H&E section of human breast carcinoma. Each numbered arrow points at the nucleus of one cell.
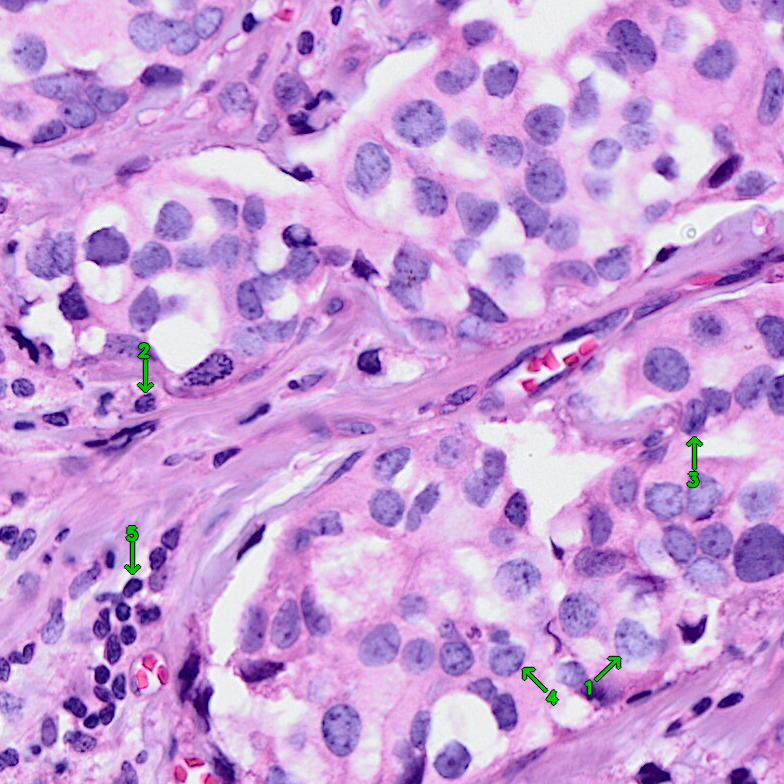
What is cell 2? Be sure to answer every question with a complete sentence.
At number 2, the marked cell is a lymphocyte.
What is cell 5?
Cell 5 should be recorded as a lymphocyte.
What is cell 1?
The cell marked with the number 1 is a carcinoma cell.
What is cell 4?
That cell with number 4 is a carcinoma cell.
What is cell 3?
Cell 3 should be recorded as a carcinoma cell.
